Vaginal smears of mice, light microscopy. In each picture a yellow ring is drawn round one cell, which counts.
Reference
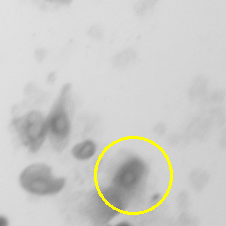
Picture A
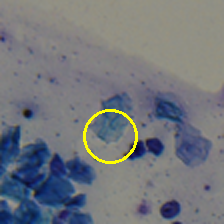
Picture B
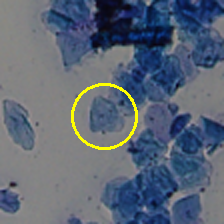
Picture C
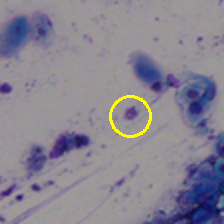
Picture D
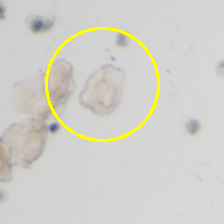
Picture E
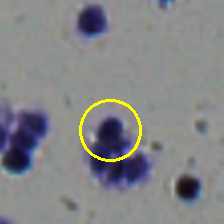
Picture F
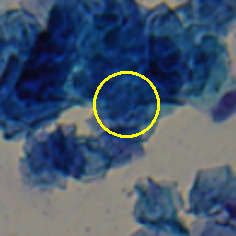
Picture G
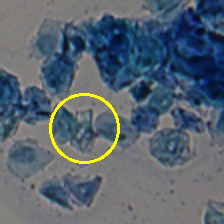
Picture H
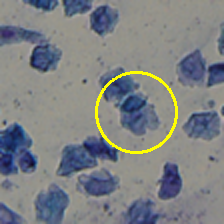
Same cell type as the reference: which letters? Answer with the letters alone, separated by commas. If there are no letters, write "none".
none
